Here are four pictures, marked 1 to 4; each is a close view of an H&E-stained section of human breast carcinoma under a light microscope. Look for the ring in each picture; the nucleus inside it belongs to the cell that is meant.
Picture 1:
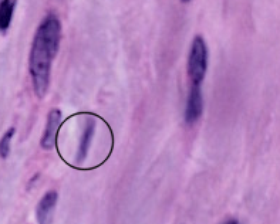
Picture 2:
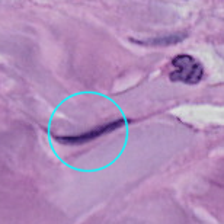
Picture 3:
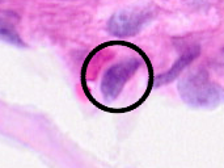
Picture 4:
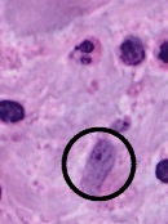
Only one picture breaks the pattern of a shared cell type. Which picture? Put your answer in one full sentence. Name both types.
Picture 3 differs, because its cell is an endothelial cell and the rest are fibroblasts.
